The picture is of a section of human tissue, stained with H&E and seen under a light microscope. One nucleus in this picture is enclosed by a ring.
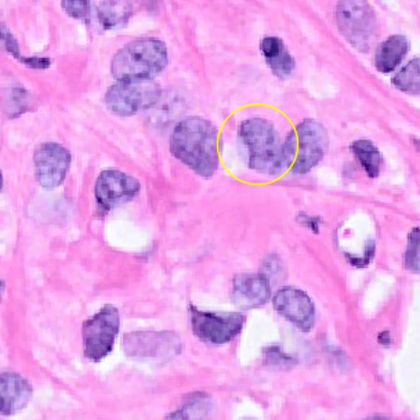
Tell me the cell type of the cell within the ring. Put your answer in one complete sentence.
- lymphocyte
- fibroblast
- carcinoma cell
The cell within the ring appears to be a carcinoma cell.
